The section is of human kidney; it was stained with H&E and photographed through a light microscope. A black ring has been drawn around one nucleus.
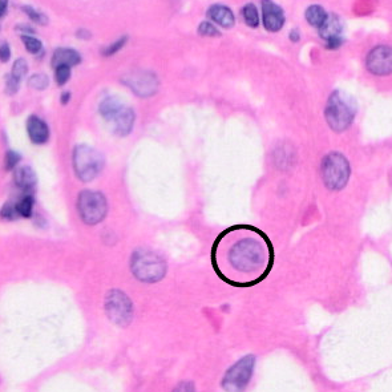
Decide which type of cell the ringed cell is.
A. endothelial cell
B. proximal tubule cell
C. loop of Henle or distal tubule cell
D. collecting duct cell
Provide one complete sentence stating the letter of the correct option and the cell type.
Option B gives the correct identity of the ringed cell, which is a proximal tubule cell.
